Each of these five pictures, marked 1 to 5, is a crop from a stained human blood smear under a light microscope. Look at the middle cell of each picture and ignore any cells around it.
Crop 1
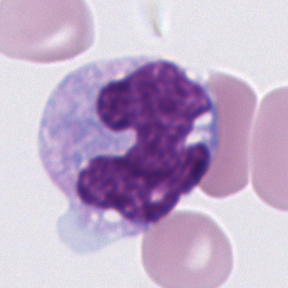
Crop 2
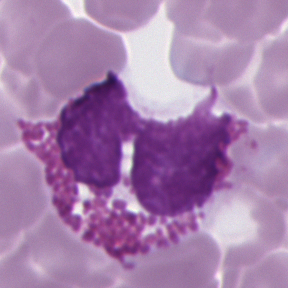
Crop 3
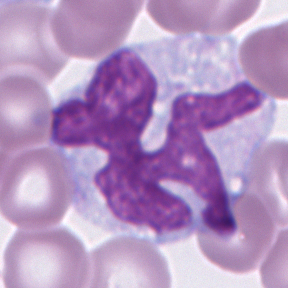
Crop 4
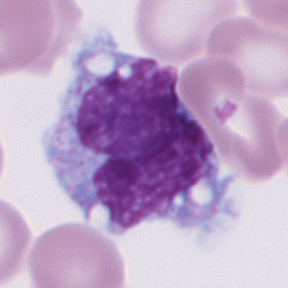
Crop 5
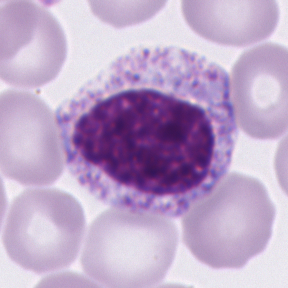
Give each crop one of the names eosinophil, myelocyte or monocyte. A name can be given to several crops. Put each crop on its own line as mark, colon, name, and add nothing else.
1: monocyte
2: eosinophil
3: monocyte
4: monocyte
5: myelocyte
